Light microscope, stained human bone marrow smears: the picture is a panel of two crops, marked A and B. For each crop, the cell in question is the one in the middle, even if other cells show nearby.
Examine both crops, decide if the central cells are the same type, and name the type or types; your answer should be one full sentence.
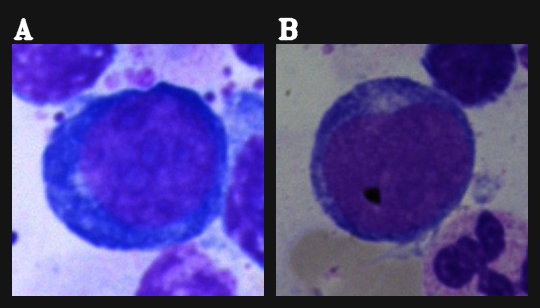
Yes, both crops show proerythroblasts in their central position.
